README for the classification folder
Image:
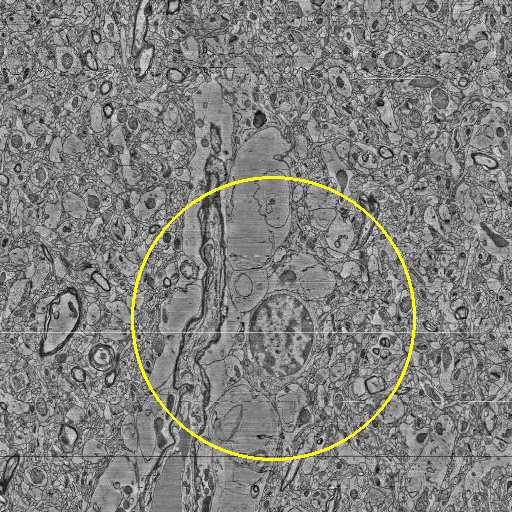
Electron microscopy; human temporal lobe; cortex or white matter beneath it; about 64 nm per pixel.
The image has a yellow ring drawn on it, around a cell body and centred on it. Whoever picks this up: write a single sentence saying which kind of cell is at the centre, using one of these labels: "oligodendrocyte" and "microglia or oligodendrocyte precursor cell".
This cell body is that of an oligodendrocyte.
